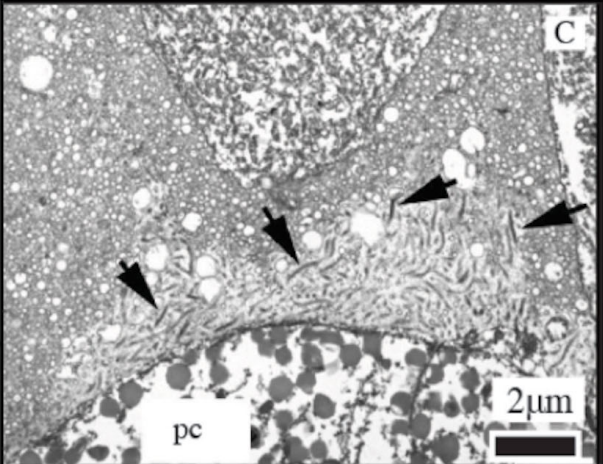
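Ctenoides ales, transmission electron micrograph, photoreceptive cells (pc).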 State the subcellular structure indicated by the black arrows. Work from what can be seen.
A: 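Rhabdomeric microvilli. The arrows point into a band of many fine, elongated membrane profiles. The band lines the surface of a cell with vesicle-filled cytoplasm.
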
